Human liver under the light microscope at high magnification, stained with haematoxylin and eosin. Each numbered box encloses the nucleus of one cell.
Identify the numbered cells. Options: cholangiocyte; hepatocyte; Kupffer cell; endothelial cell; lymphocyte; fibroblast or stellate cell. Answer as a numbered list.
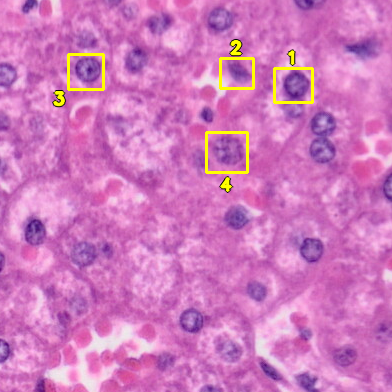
1. hepatocyte
2. endothelial cell
3. hepatocyte
4. hepatocyte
